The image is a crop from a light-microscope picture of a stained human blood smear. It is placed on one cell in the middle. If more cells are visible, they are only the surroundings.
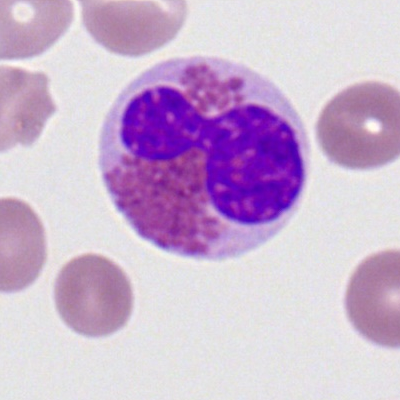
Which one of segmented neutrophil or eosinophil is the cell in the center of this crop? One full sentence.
The centrally positioned cell in the crop represents an eosinophil.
